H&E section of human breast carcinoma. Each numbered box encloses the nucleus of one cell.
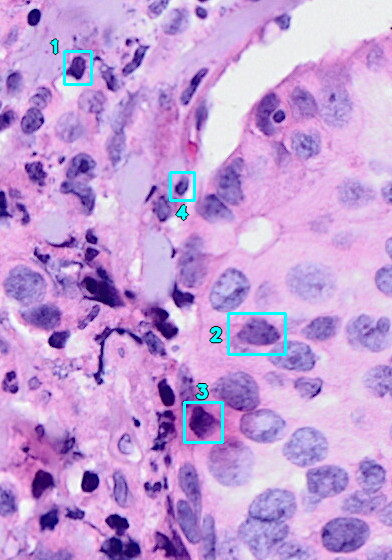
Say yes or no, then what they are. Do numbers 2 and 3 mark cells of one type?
Yes, it is true that cells 2 and 3 are both carcinoma cells.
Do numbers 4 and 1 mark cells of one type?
Yes, both of the numbered cells concerned, 4 and 1, are lymphocytes.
